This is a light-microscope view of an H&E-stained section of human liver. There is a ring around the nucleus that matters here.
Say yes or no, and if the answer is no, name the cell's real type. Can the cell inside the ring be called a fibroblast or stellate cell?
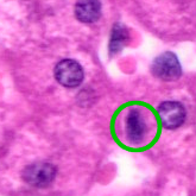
Yes.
